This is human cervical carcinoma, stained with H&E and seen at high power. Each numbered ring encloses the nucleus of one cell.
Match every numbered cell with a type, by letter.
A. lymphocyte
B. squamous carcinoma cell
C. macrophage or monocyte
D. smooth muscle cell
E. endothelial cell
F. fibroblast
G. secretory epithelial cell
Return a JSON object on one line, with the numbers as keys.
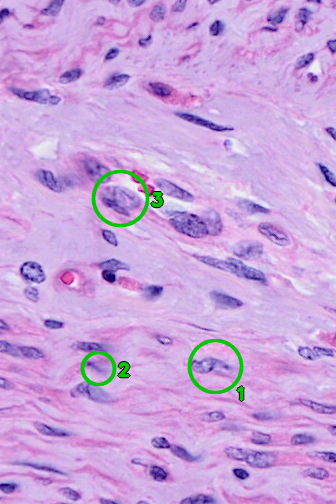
{"1": "D", "2": "D", "3": "E"}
